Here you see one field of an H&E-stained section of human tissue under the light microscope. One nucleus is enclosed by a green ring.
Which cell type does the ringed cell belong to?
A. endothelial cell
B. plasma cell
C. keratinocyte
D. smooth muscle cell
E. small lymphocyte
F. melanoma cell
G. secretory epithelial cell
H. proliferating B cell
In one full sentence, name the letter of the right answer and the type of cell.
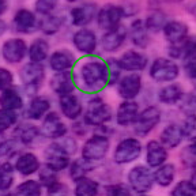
Option E is accurate, for the ringed cell is a small lymphocyte.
